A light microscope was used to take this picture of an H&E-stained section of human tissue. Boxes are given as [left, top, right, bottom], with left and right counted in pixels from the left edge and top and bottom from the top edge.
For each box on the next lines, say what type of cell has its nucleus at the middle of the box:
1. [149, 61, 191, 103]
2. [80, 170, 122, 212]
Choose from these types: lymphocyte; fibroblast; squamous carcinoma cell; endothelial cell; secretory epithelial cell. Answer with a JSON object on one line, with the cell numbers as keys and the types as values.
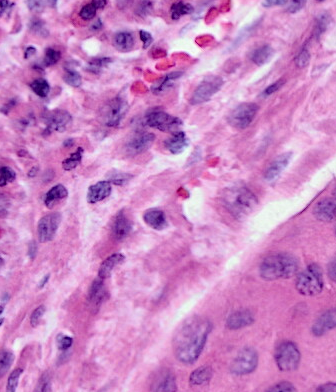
{"1": "endothelial cell", "2": "lymphocyte"}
